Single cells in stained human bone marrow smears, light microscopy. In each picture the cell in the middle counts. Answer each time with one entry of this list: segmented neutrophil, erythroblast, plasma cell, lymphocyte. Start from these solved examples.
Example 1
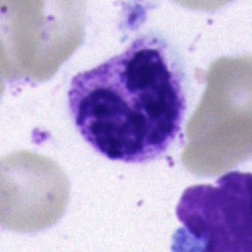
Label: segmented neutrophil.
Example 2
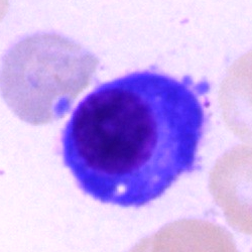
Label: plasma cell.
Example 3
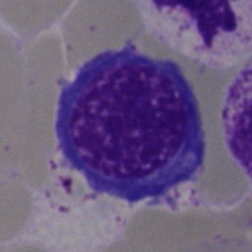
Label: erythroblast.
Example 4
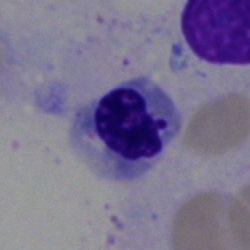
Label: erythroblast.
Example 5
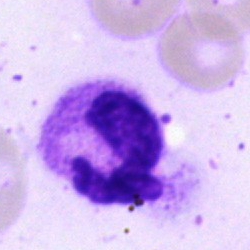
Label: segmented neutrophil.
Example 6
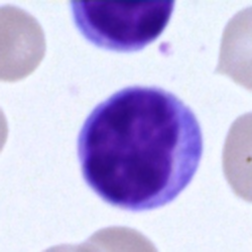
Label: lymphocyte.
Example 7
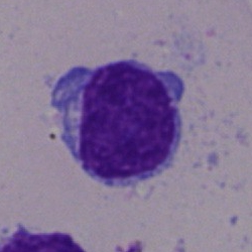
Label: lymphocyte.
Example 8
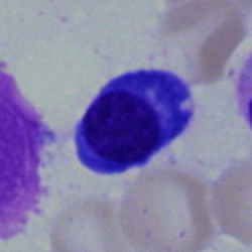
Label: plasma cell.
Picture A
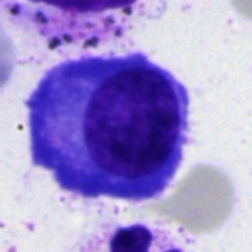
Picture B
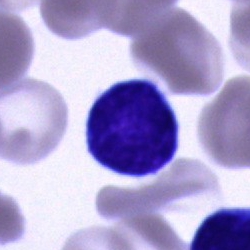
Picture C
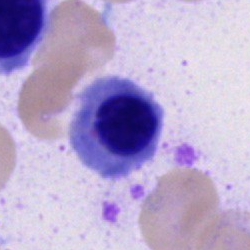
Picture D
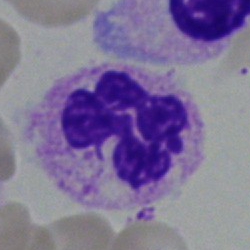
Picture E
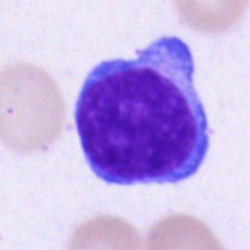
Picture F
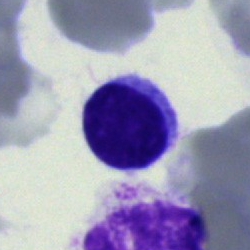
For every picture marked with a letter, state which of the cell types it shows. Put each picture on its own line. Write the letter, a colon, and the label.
A: plasma cell.
B: lymphocyte.
C: erythroblast.
D: segmented neutrophil.
E: lymphocyte.
F: lymphocyte.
